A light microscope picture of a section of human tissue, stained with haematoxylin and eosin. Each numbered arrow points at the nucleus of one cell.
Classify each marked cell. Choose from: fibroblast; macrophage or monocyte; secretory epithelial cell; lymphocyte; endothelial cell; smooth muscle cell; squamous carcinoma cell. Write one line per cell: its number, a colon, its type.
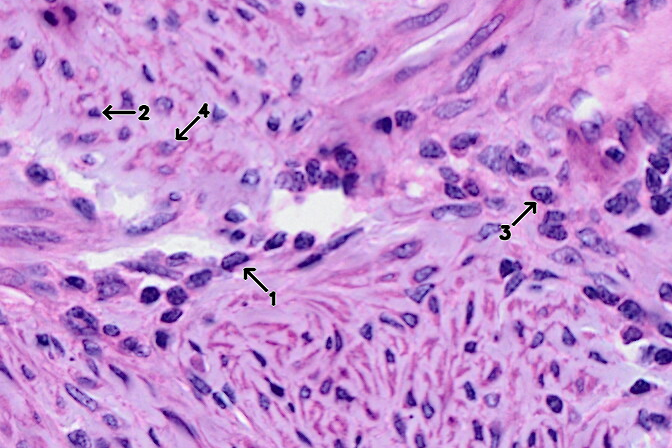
1: lymphocyte
2: smooth muscle cell
3: lymphocyte
4: smooth muscle cell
